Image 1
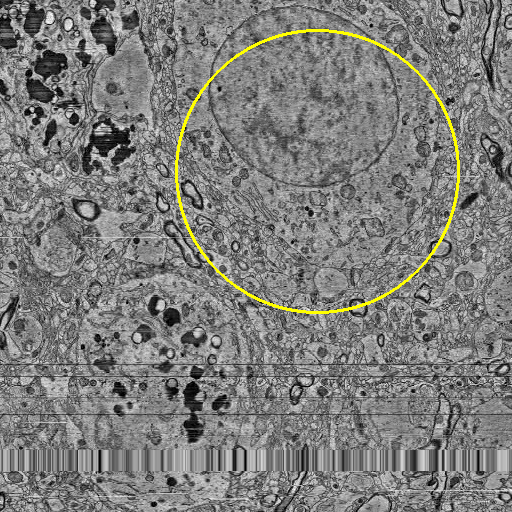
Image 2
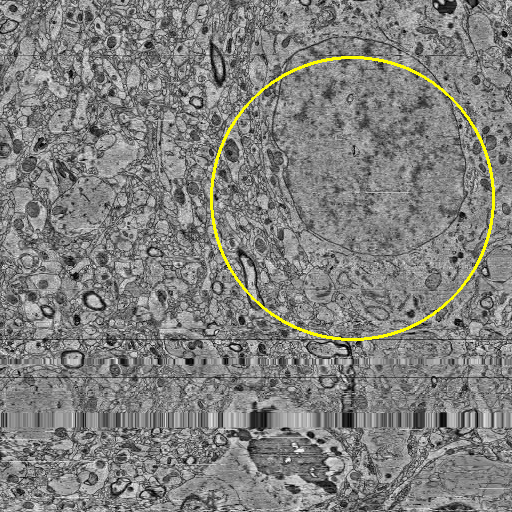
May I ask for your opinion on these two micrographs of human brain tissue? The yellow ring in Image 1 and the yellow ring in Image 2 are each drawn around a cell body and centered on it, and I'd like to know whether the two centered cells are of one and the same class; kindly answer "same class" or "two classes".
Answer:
two classes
